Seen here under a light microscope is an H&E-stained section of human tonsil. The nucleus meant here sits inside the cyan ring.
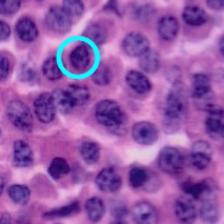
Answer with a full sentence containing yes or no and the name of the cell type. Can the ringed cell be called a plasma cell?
Yes, the ringed cell in this section represents a plasma cell.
